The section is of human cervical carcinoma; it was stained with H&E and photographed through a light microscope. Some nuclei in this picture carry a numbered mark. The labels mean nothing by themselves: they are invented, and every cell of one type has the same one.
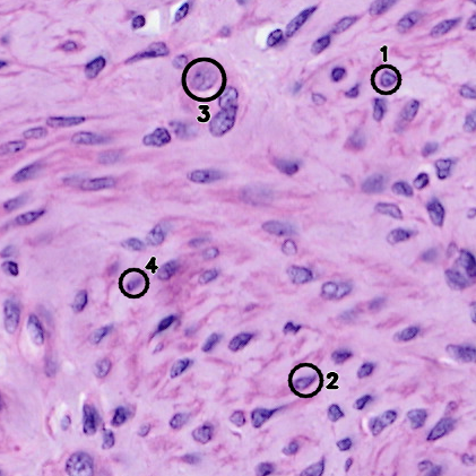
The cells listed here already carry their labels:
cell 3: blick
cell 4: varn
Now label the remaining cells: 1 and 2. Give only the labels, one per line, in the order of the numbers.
varn
varn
